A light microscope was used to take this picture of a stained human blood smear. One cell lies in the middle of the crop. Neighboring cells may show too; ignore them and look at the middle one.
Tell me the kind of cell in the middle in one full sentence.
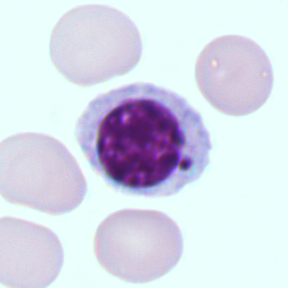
Where the crop is centred, there is a normoblast.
